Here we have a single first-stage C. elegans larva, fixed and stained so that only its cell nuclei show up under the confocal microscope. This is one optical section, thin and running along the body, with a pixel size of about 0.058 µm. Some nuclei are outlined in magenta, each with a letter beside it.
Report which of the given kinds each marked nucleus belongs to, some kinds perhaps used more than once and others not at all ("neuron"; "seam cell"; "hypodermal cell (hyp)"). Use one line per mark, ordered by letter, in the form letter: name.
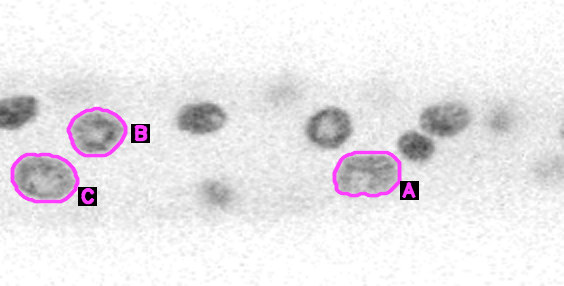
A: hypodermal cell (hyp)
B: seam cell
C: hypodermal cell (hyp)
